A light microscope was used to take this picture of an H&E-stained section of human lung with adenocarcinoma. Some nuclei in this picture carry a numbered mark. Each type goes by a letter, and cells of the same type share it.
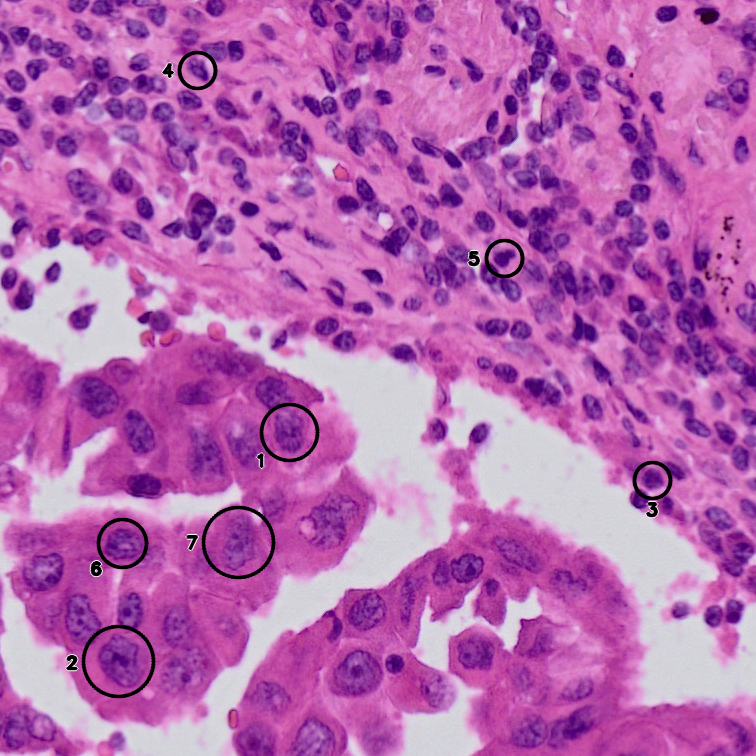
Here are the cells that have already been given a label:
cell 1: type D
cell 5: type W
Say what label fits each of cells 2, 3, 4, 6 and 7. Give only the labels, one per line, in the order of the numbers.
type D
type W
type W
type D
type D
